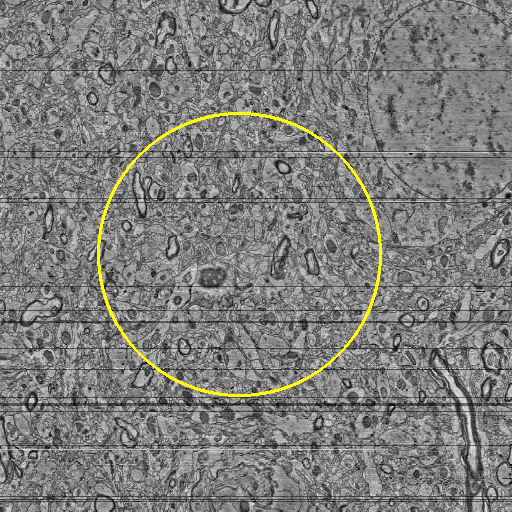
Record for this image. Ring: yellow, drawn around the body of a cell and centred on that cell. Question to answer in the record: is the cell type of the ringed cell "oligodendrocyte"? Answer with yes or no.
no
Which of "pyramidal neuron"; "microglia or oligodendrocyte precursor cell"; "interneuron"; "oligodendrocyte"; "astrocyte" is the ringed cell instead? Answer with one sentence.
What the ring is centred on is a microglial cell or oligodendrocyte precursor cell.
